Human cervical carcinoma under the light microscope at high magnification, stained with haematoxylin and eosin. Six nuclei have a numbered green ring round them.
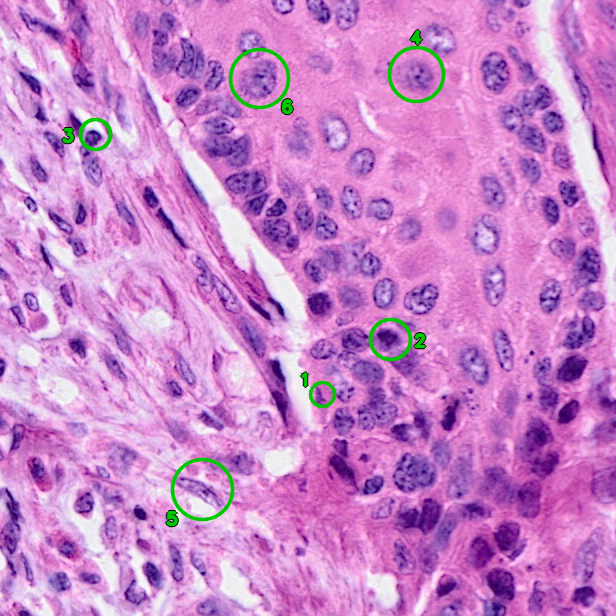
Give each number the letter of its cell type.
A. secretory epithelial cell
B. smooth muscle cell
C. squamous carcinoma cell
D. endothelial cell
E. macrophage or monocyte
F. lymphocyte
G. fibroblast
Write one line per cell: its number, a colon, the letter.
1: C
2: C
3: F
4: C
5: G
6: C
